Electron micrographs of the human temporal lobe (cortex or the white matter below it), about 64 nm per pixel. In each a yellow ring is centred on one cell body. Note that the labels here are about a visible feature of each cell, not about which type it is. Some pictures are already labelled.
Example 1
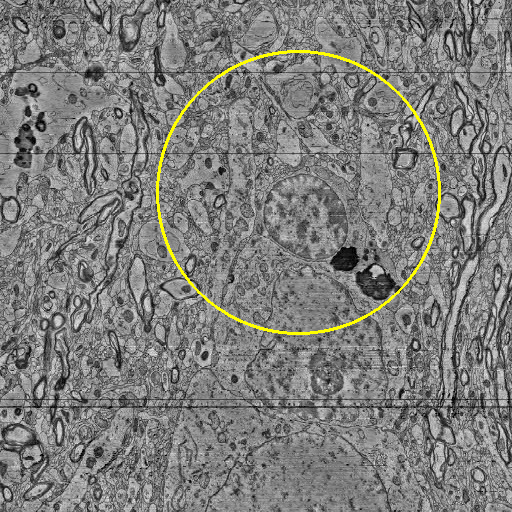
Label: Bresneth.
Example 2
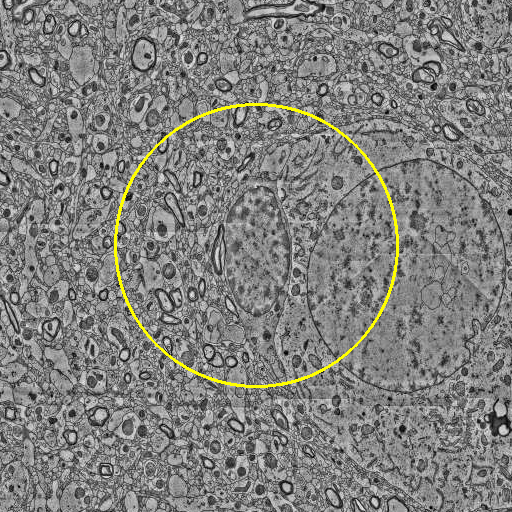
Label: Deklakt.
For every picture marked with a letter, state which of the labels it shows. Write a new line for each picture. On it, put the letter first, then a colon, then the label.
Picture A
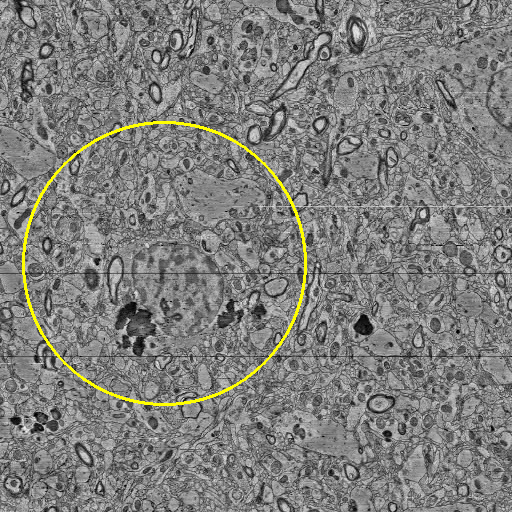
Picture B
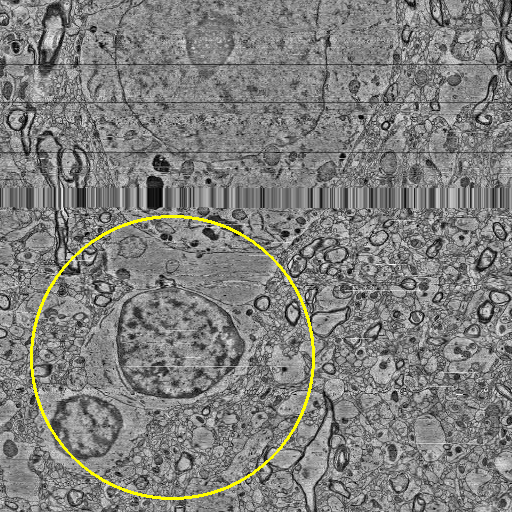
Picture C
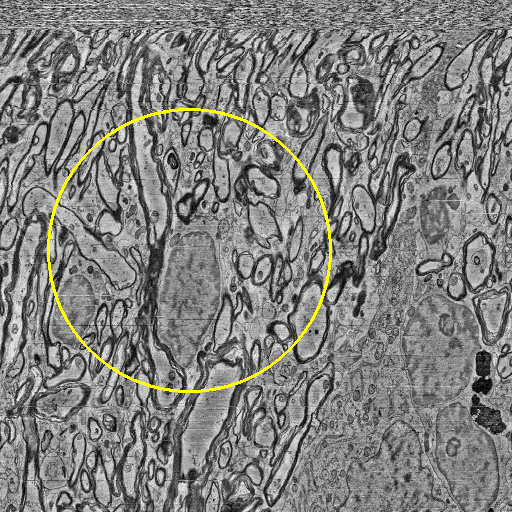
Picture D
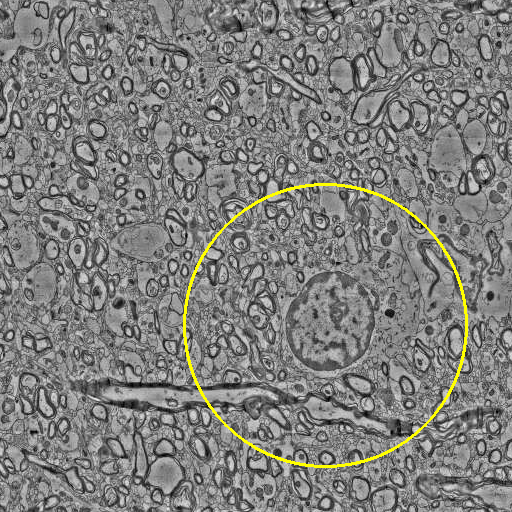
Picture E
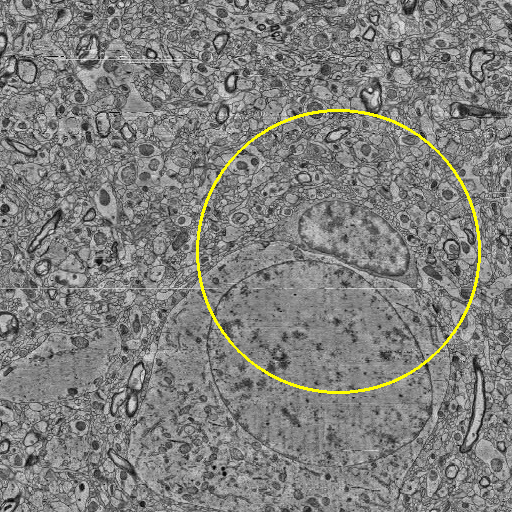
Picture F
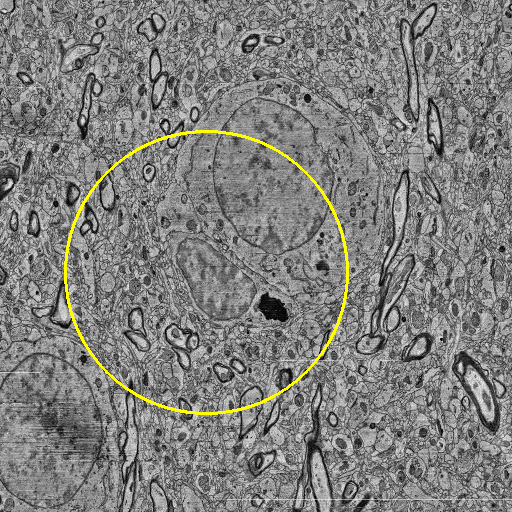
A: Bresneth.
B: Bresneth.
C: Deklakt.
D: Bresneth.
E: Deklakt.
F: Deklakt.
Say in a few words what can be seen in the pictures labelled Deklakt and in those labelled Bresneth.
Deklakt: clearly elongated nuclei; Bresneth: round or nearly round nuclei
